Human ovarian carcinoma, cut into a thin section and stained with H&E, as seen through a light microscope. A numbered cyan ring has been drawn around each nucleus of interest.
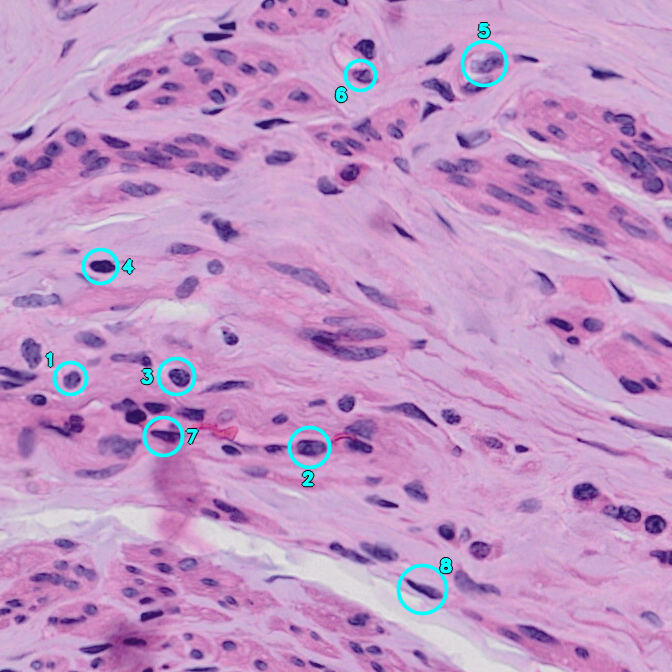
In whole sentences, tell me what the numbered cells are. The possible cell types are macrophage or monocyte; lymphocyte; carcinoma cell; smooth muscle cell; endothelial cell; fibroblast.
Cell 1 is a lymphocyte, cell 2 is an endothelial cell, cell 3 is a lymphocyte, cell 4 is a lymphocyte, cell 5 is an endothelial cell, cell 6 is an endothelial cell, cell 7 is an endothelial cell and cell 8 is a fibroblast.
